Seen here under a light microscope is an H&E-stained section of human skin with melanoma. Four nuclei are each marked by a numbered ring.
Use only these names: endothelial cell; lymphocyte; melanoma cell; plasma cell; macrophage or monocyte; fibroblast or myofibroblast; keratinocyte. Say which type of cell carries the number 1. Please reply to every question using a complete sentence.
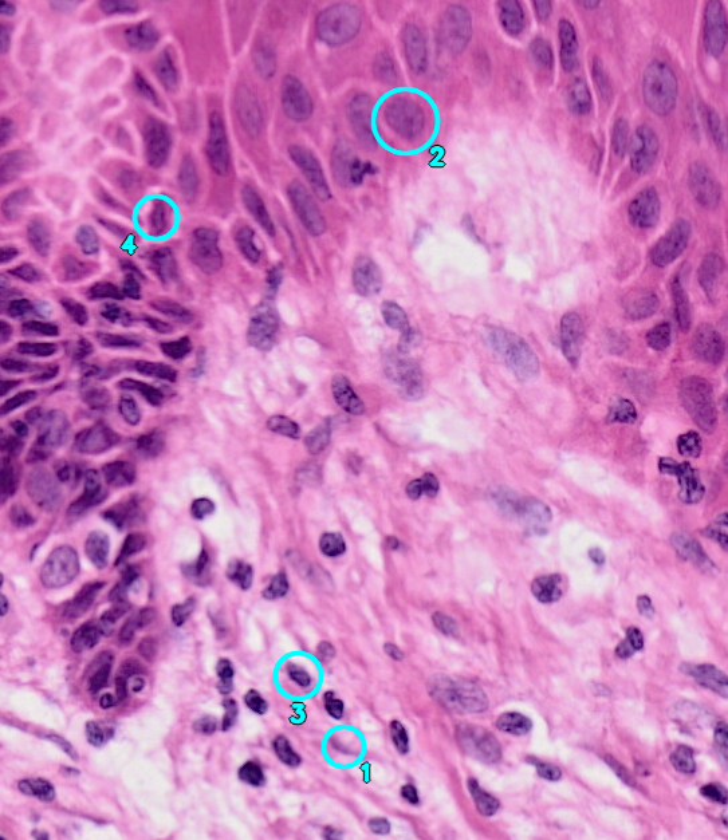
In this section, the cell numbered 1 is a fibroblast or myofibroblast.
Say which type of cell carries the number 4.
The cell that bears the number 4 is a keratinocyte.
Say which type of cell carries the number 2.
Nucleus 2 in this section belongs to a keratinocyte.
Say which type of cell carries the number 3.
The cell that bears the number 3 is a lymphocyte.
